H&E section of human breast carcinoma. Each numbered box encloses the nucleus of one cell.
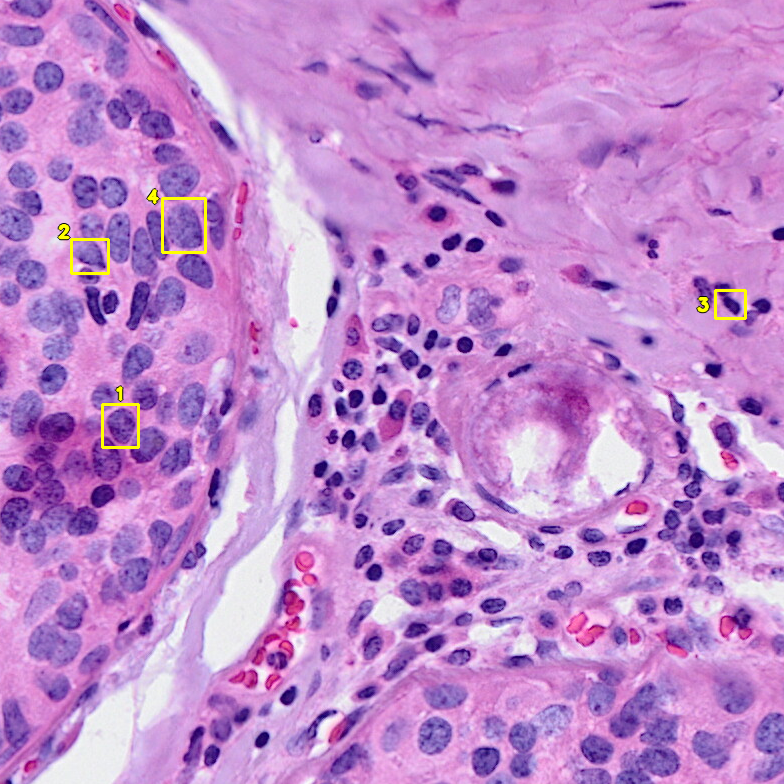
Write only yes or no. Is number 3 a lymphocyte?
yes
